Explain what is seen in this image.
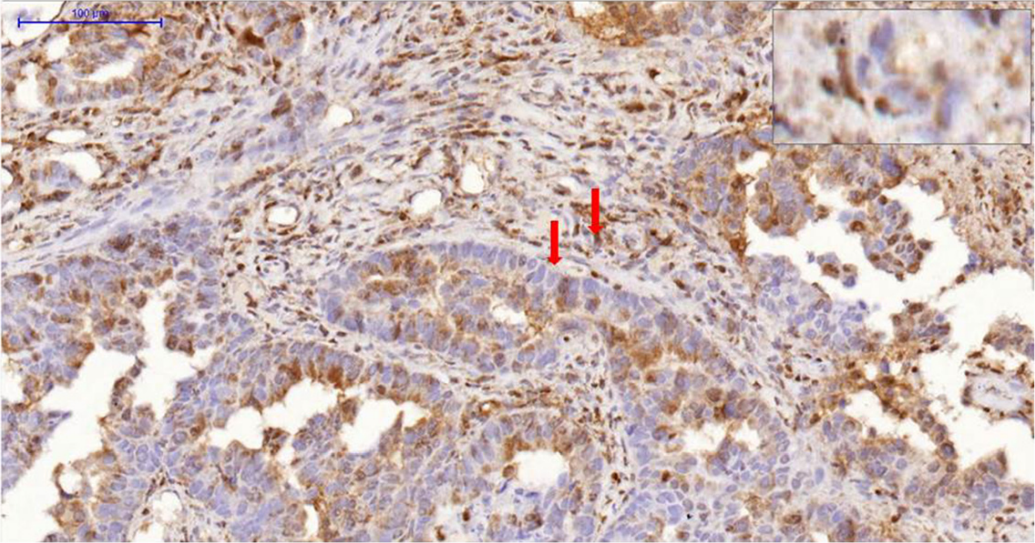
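Carcinoma tissue with tumor cells forming glandular and papillary structures lined by crowded, layered cells around irregular open spaces, separated by a band of stroma across the middle. Many tumor cells have oval blue nuclei and pale cytoplasm without brown stain, while other tumor cells show patchy brown cytoplasm, so staining in the tumor is uneven. The stroma contains spindle-shaped cells with elongated nuclei, many of them stained brown, lying in pale fibrous matrix and around small vessels. The contrast between brown stromal cells and unstained neighbouring tumor cells is clear along the stroma's edge.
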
